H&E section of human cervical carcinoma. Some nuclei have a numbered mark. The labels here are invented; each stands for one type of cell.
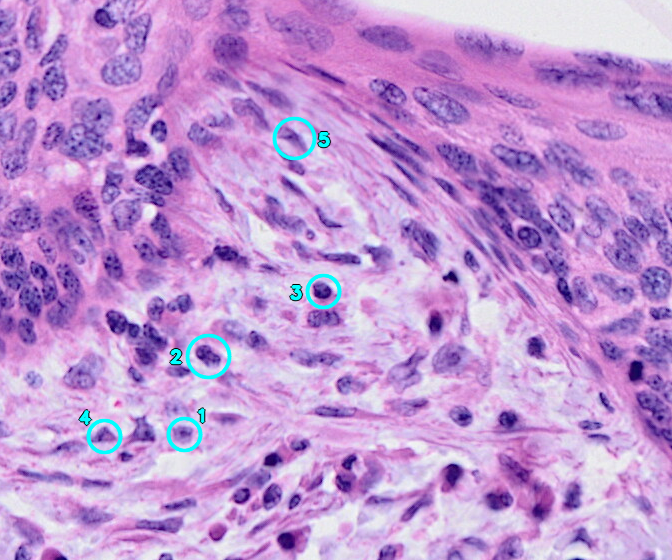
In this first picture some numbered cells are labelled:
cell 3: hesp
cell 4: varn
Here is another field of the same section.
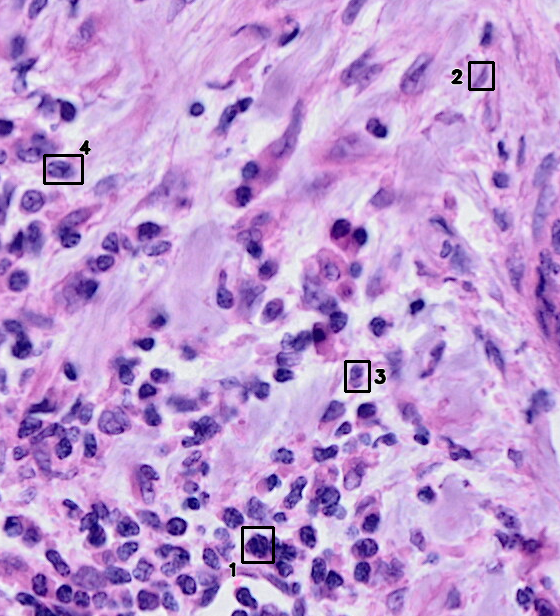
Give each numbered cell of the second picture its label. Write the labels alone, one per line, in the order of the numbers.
hesp
varn
hesp
hesp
